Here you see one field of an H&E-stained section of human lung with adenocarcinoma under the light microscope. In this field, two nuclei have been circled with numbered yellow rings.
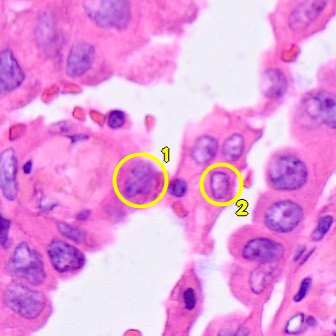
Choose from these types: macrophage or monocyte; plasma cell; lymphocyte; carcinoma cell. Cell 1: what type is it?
carcinoma cell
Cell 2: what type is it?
macrophage or monocyte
